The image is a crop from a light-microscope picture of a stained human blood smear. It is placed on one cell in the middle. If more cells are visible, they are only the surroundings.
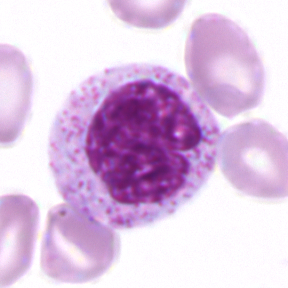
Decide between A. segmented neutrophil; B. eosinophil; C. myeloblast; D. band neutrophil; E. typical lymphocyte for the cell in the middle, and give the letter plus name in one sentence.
It is a band neutrophil that occupies the centre of the crop, so option D is correct.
